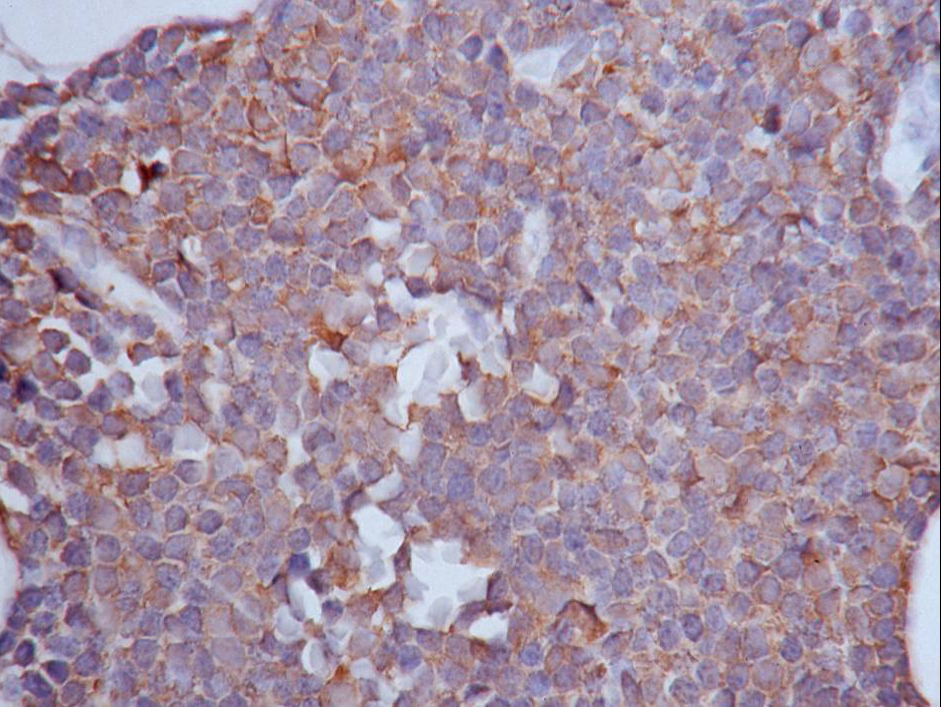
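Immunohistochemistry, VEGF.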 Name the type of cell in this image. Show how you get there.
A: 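Densely packed, uniform small round cells. Round, blue-stained nuclei filling most of each cell. Scant rim of cytoplasm around each nucleus.
Conclusion: lymphocytes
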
